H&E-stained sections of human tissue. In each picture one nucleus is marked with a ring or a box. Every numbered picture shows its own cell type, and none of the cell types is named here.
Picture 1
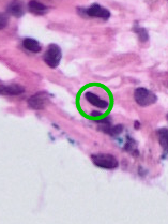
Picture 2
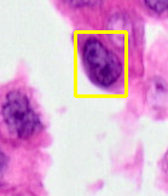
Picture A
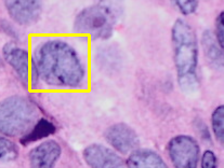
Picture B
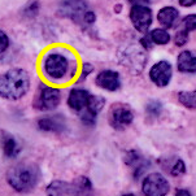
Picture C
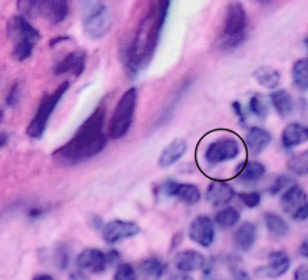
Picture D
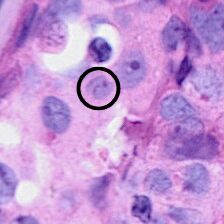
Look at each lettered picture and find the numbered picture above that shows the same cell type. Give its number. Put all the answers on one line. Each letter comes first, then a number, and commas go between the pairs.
A 2, B 1, C 1, D 2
